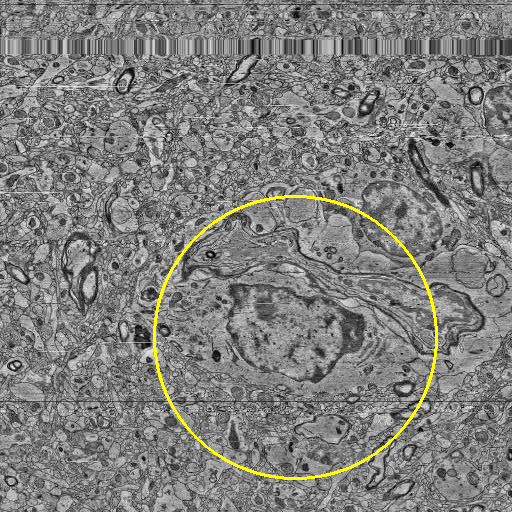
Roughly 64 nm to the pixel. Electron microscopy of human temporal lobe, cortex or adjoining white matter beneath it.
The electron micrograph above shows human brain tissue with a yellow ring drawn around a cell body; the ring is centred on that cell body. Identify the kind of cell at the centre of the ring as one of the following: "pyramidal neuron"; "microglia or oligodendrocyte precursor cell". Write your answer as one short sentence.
The cell at the centre of the ring is a microglial cell or oligodendrocyte precursor cell.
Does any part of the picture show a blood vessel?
Yes, the image shows a blood vessel.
